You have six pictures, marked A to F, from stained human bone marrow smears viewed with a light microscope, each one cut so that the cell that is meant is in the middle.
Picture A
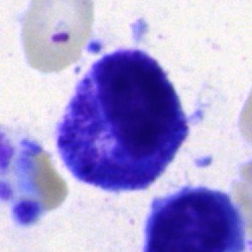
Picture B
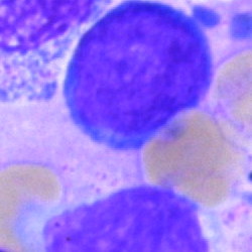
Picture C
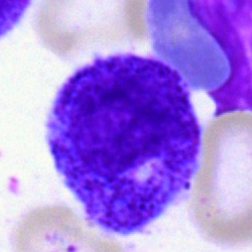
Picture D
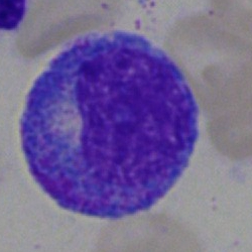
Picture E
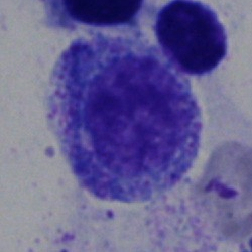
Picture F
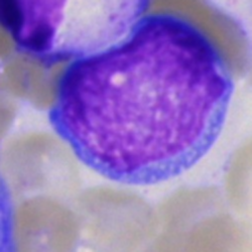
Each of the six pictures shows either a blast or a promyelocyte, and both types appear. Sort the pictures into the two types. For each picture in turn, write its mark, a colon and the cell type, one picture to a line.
A: promyelocyte
B: blast
C: promyelocyte
D: promyelocyte
E: promyelocyte
F: blast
